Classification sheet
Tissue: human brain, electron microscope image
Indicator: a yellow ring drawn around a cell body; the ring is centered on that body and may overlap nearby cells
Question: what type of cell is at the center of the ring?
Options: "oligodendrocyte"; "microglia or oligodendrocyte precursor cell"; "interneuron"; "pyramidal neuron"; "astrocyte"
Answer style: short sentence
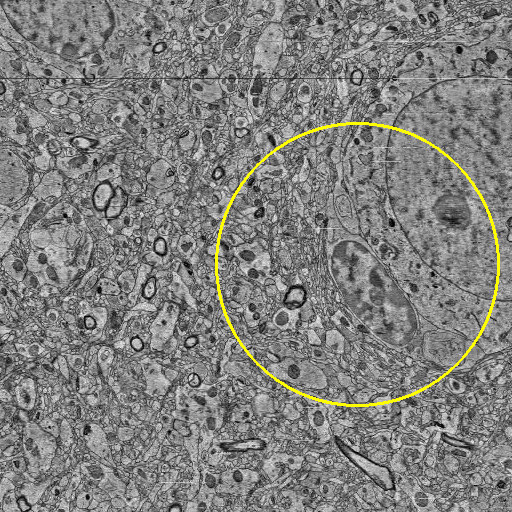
At the ring's center is a microglial cell or oligodendrocyte precursor cell.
